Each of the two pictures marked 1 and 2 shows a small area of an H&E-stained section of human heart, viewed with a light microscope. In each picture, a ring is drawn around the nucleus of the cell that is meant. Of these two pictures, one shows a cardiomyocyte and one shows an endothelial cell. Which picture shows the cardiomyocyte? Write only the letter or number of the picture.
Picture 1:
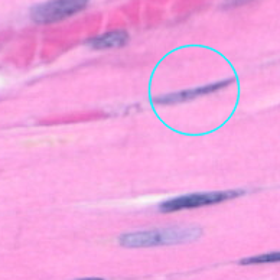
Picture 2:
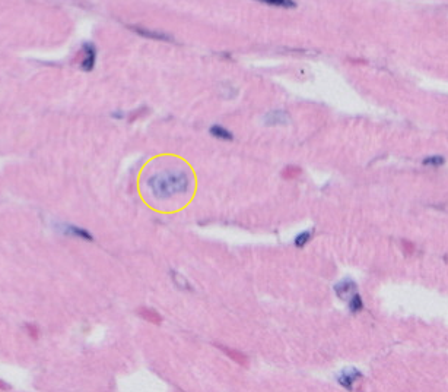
2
